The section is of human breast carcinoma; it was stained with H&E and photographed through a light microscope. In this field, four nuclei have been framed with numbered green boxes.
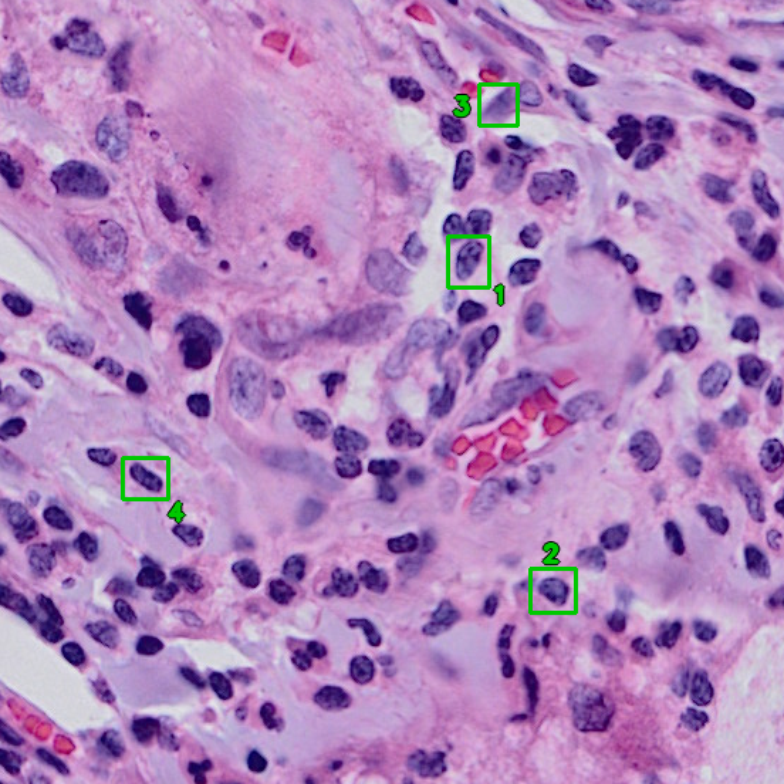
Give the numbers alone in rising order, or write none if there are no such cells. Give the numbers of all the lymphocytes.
1, 2, 4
